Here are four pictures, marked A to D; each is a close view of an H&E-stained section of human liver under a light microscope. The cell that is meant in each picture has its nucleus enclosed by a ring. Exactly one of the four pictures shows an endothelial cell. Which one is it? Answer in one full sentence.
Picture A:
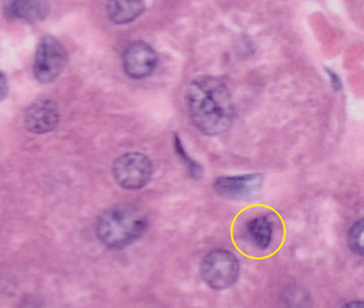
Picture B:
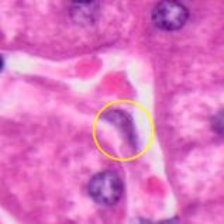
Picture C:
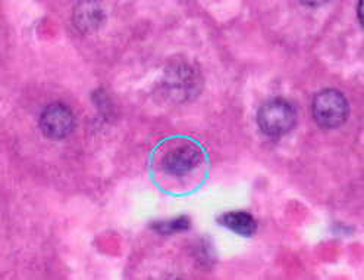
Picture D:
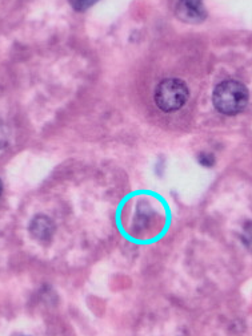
Picture D is the one that shows the endothelial cell.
